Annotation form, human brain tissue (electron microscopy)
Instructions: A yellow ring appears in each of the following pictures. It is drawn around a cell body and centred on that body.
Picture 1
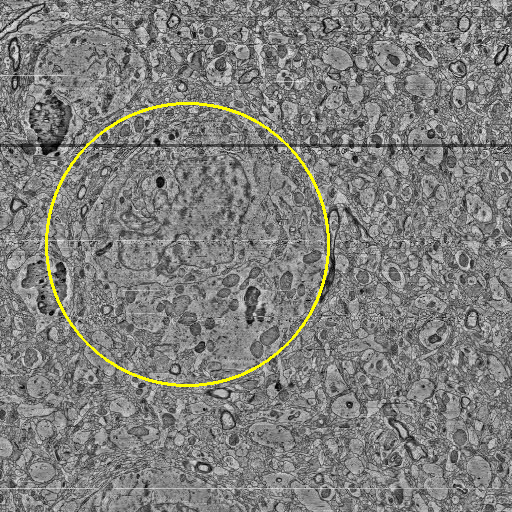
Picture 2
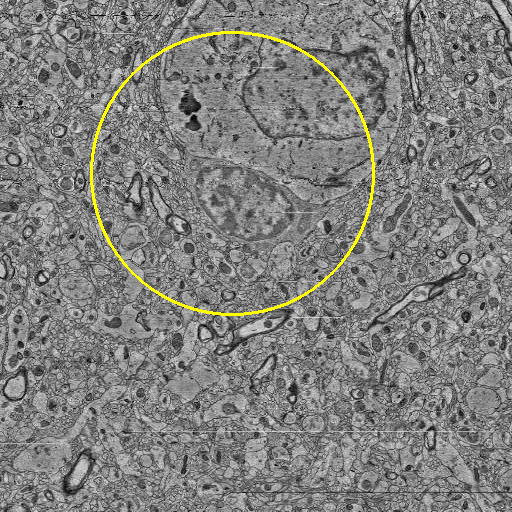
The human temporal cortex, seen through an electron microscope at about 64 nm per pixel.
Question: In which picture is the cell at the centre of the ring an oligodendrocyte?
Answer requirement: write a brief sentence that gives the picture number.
The cell at the centre of the ring in Picture 2 is the one asked for.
